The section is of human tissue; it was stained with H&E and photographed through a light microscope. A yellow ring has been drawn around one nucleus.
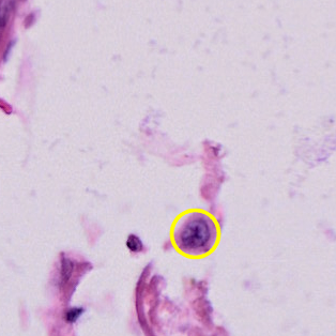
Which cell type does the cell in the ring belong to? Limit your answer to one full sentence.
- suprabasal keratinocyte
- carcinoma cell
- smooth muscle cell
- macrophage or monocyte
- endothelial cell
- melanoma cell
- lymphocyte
Typologically, the cell in the ring is a melanoma cell in this section.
